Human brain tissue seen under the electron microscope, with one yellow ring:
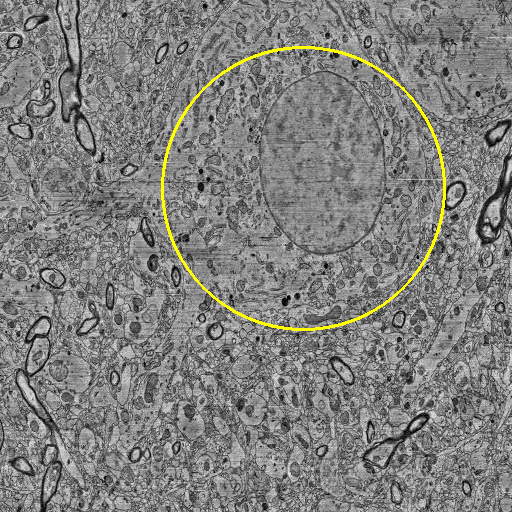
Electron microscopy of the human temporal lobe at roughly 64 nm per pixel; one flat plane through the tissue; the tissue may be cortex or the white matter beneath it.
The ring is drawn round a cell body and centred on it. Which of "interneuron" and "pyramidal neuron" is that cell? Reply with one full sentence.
The picture shows an interneuron at the very centre of the yellow ring.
